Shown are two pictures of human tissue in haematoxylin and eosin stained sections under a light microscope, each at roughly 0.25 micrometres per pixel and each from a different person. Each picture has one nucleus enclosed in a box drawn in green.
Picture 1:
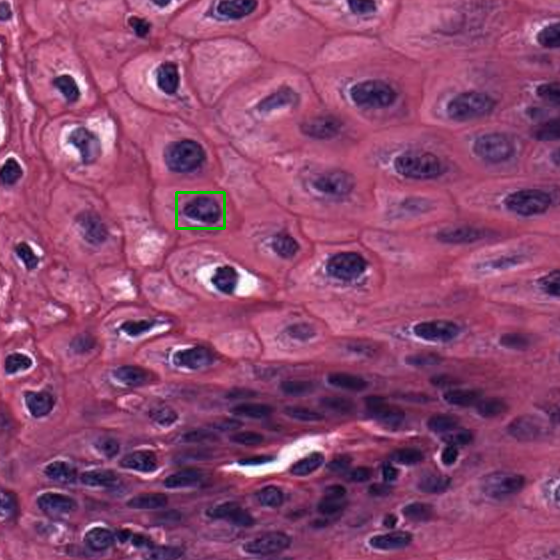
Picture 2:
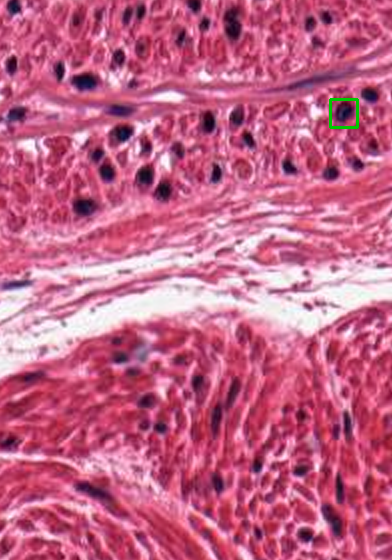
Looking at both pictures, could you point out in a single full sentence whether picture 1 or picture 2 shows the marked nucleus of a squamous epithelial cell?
The marked nucleus seen in picture 1 is that of a squamous epithelial cell.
